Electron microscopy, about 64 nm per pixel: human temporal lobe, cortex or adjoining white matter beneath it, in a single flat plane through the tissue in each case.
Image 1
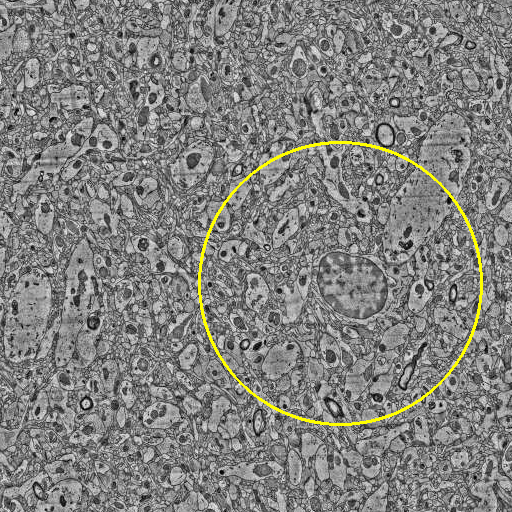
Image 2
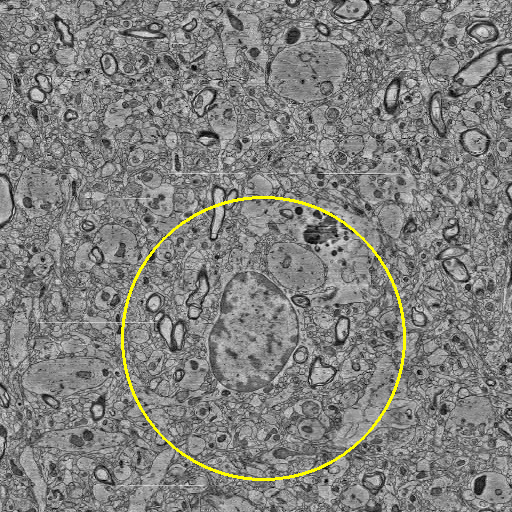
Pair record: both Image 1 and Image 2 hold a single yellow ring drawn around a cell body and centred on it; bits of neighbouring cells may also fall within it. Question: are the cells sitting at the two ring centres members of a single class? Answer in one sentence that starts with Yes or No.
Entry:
Yes, both ring-centre cells in Image 1 and Image 2 are members of one class.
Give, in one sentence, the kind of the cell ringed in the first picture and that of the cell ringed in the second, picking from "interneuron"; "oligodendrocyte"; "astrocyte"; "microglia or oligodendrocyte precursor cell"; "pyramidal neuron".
In each picture the ringed cell is a microglial cell or oligodendrocyte precursor cell.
